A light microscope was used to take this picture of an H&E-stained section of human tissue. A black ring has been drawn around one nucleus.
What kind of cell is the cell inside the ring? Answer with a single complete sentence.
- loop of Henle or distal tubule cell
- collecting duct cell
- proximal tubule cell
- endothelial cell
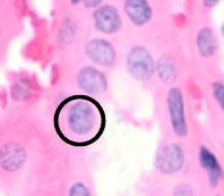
In cellular terms, the cell inside the ring is a collecting duct cell.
